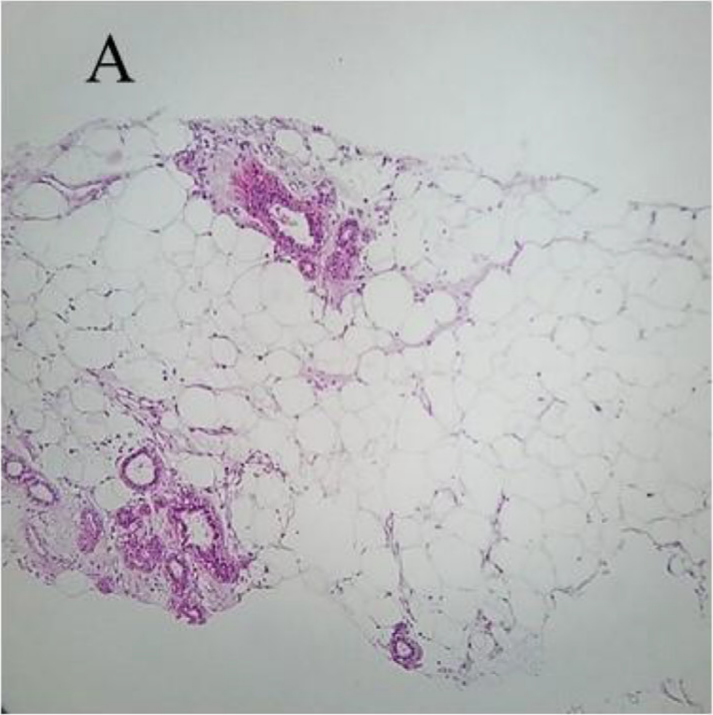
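This breast tissue is made up mostly of adipose tissue, seen as large empty polygonal fat cells with thin pink walls and few flattened nuclei at their edges. Scattered among the fat are small groups of ducts and lobular glands, round or branching tubules with open lumens lined by a layer of purple-nucleated epithelium. The glands sit in small islands of pink fibrous stroma.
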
